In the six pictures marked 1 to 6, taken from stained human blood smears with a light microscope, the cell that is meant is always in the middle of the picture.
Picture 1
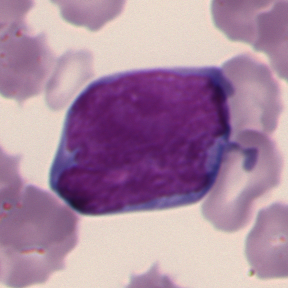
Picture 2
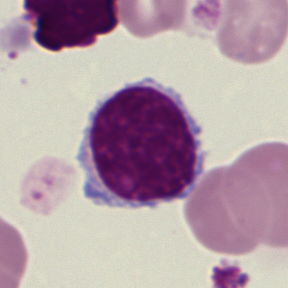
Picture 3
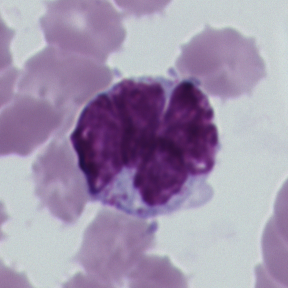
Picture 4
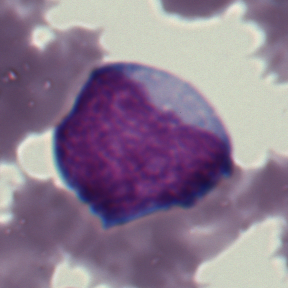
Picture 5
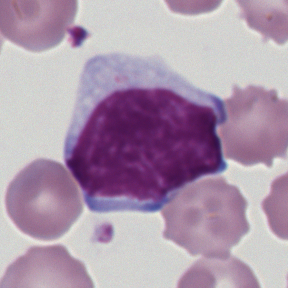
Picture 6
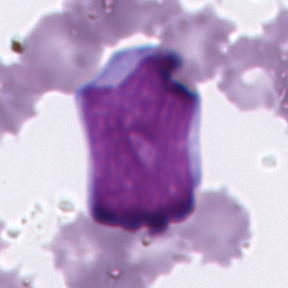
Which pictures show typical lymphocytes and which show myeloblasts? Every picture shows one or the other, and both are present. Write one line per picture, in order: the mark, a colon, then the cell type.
1: myeloblast
2: typical lymphocyte
3: typical lymphocyte
4: myeloblast
5: typical lymphocyte
6: myeloblast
